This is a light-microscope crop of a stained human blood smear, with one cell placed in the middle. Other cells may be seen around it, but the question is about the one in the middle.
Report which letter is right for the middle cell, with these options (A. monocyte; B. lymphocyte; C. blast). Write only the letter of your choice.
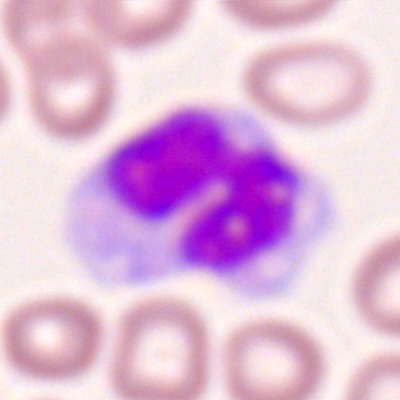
A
